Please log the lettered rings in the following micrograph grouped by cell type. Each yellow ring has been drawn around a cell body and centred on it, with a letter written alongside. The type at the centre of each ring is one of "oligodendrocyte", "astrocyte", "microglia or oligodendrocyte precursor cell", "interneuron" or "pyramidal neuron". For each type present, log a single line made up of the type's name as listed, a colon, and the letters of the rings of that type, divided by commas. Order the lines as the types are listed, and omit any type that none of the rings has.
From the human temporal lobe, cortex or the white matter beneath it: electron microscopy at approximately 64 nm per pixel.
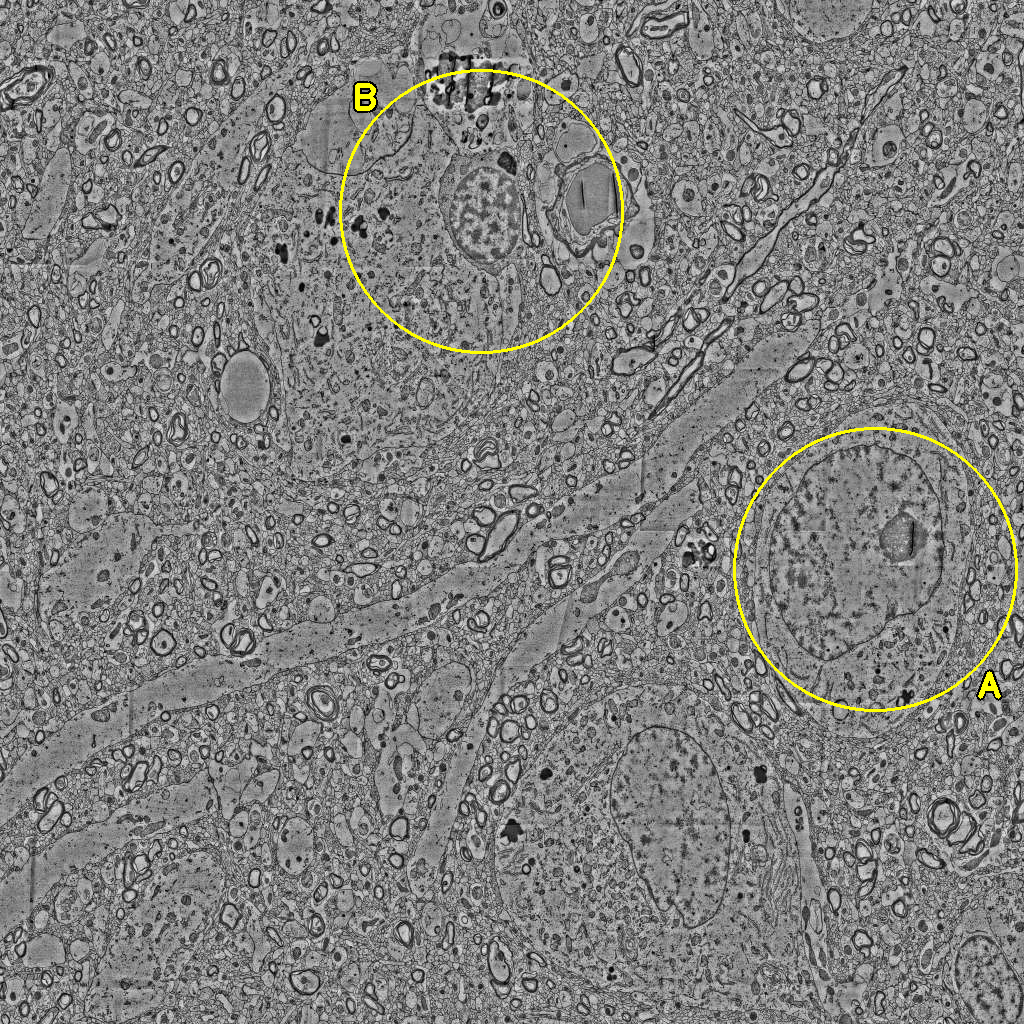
oligodendrocyte: B
pyramidal neuron: A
